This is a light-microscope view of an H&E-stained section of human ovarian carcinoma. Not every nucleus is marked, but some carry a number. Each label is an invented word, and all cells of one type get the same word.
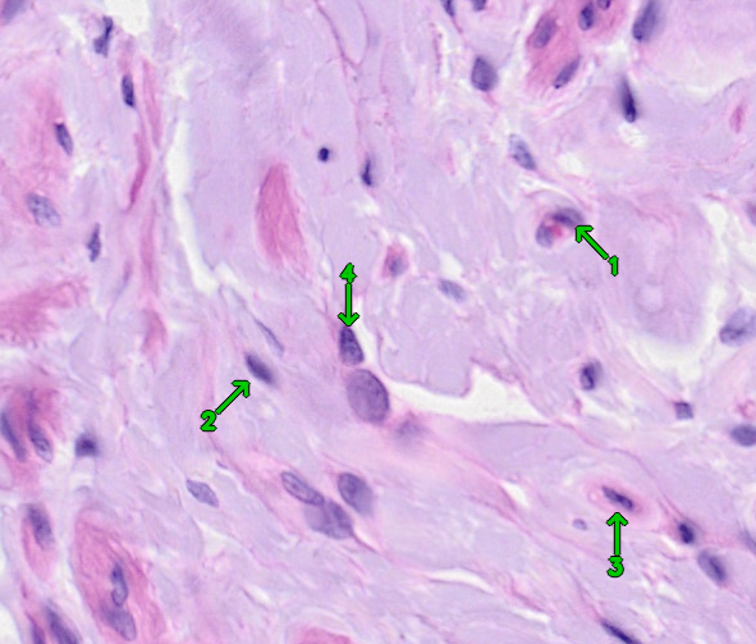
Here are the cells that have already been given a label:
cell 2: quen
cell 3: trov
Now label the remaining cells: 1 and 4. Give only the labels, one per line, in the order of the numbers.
trov
trov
